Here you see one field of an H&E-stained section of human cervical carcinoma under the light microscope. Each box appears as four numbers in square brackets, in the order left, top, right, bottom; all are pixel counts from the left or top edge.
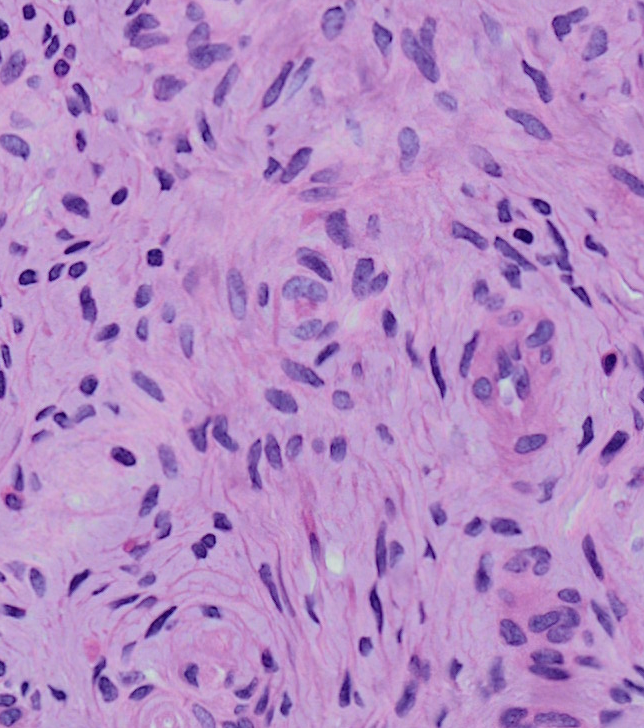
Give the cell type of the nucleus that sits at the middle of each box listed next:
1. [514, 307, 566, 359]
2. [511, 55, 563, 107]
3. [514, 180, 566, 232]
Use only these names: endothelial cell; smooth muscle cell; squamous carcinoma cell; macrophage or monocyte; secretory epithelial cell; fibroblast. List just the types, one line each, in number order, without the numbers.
smooth muscle cell
fibroblast
fibroblast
